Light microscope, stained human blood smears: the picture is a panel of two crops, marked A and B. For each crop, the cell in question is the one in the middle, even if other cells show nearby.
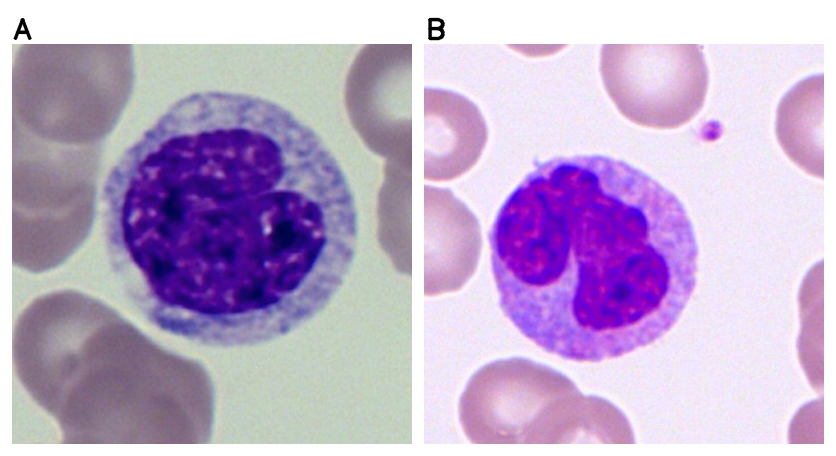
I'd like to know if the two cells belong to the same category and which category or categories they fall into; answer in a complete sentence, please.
Yes, monocytes are the cells shown in both crops.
